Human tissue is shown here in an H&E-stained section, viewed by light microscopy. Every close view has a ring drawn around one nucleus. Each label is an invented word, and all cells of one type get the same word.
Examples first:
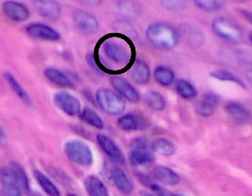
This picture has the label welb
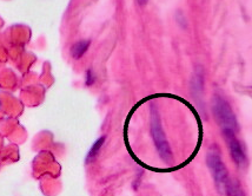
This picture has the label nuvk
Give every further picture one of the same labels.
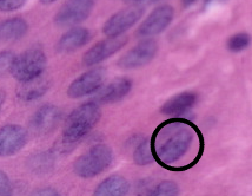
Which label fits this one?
welb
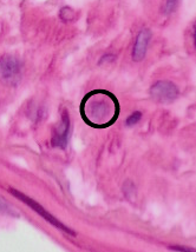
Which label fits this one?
nuvk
